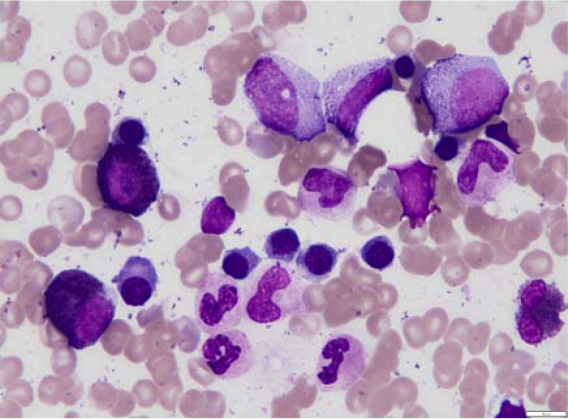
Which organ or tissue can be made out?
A: Bone marrow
